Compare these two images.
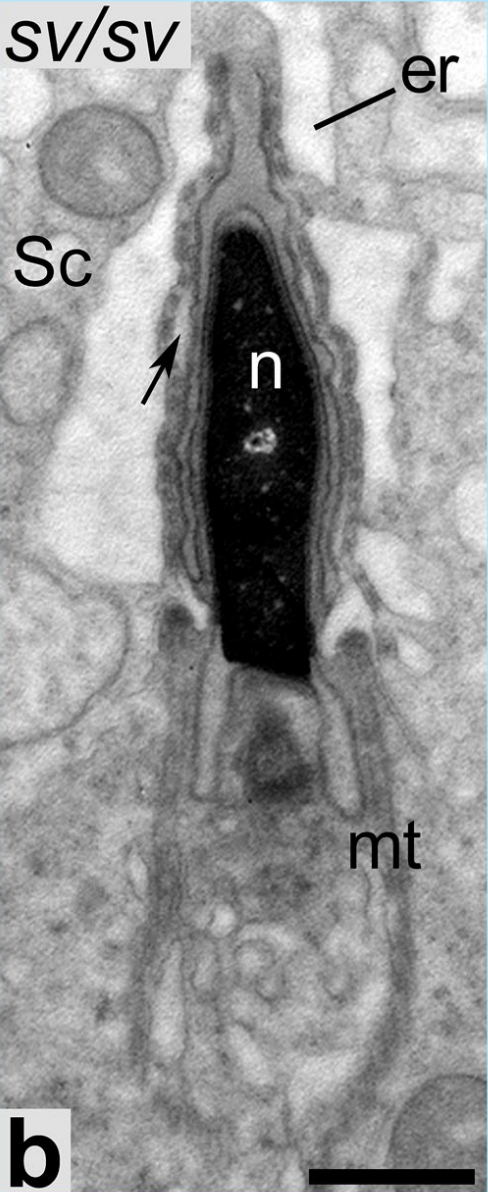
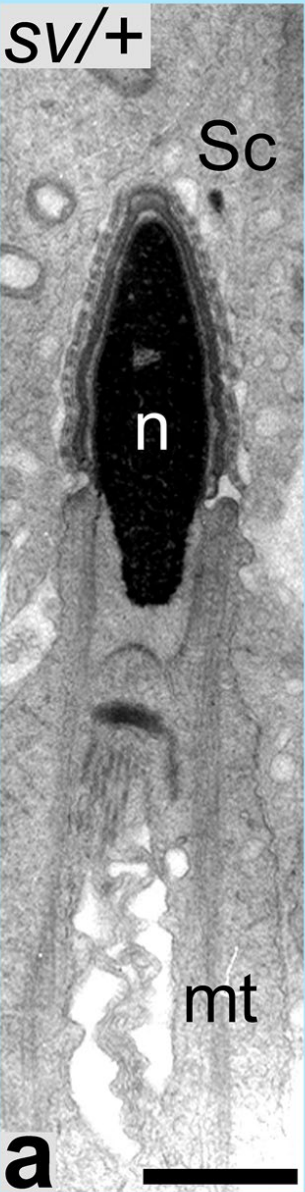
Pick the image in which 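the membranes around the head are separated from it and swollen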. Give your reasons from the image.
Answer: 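First image: the layered membranes over the head are wavy and lifted away from the nucleus, with dilated cisterns. Second image: the layered membranes lie close and even over the head. So: the first image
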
